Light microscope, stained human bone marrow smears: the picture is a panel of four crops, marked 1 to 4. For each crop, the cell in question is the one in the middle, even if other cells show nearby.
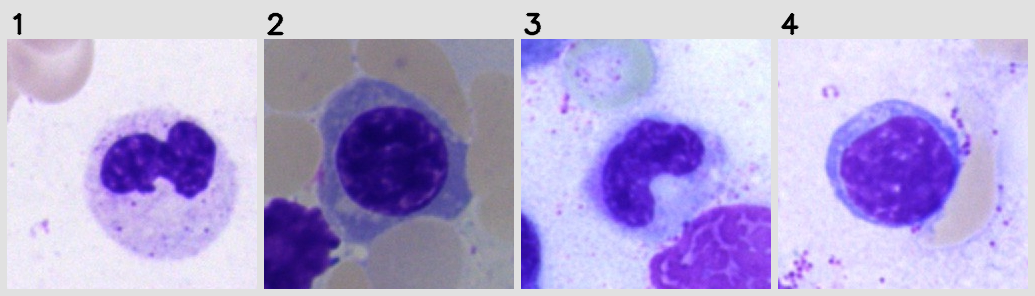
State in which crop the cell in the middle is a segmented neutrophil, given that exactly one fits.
1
